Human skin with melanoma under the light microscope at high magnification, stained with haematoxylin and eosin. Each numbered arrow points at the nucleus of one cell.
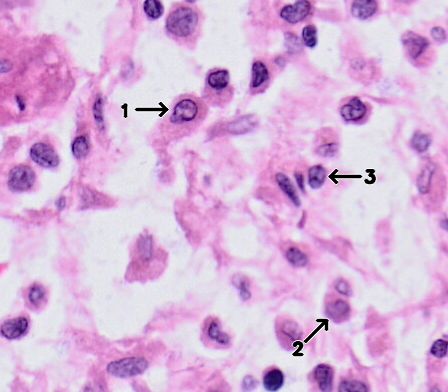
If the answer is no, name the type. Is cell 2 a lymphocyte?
No, it is a macrophage or monocyte.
